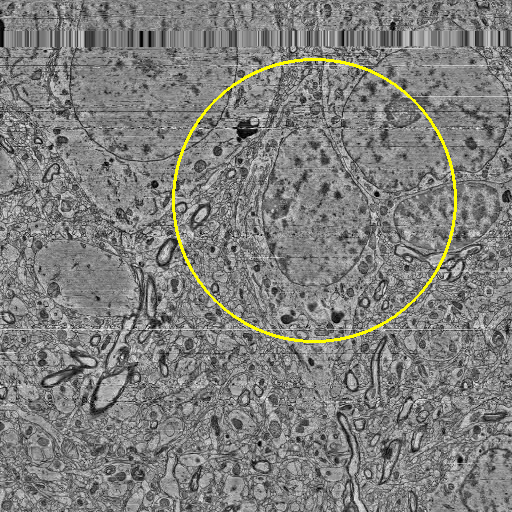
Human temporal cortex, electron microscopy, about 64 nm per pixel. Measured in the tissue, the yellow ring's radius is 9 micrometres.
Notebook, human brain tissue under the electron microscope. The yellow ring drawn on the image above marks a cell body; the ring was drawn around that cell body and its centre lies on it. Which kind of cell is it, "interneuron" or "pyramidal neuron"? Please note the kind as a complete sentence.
The marked cell body is that of an interneuron.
